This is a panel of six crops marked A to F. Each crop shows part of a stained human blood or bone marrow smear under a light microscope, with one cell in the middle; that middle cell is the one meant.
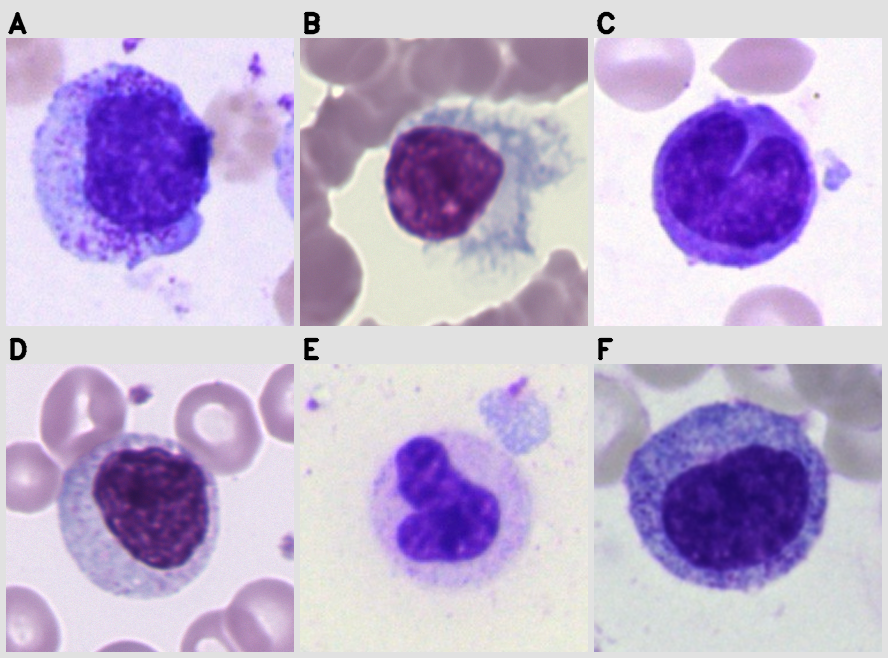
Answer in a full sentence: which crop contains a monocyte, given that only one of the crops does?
The crop with a monocyte at its center is crop C.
